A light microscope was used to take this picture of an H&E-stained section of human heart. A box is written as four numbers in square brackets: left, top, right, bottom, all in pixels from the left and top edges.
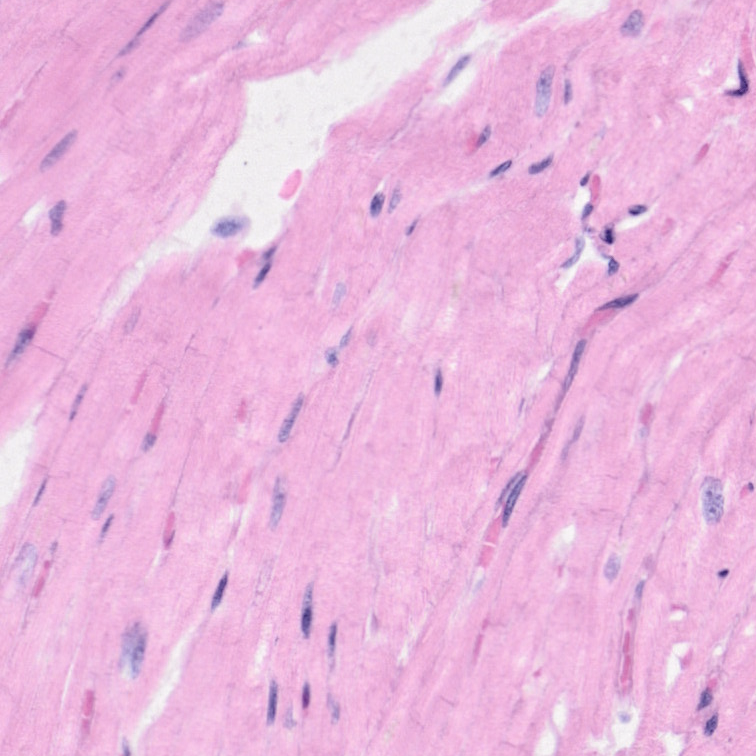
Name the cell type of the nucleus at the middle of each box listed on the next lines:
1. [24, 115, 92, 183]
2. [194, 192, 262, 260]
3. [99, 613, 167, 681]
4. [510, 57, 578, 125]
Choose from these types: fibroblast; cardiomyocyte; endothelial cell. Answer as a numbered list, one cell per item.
1. cardiomyocyte
2. fibroblast
3. cardiomyocyte
4. cardiomyocyte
